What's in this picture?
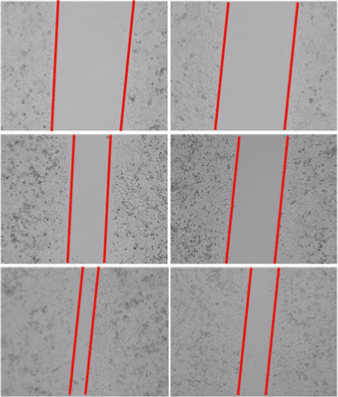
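Unstained brightfield views of a confluent cultured cell layer, with a straight cell-free scratch running down the middle of each field. The cells show only as small grey speckles at this low magnification, and red lines mark the edges of the gap. Across the rows the gap is narrower in some fields than in others, as cells fill in the scratch from its edges.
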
